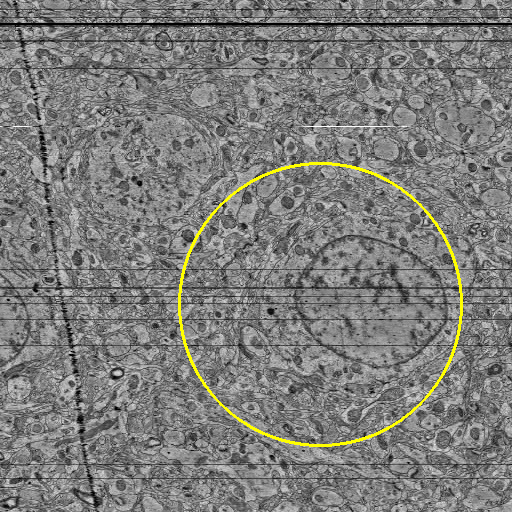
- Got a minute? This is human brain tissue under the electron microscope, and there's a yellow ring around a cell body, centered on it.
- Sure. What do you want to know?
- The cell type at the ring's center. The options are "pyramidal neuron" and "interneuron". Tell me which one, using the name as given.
pyramidal neuron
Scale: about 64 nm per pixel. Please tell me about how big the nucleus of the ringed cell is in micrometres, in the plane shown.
The ringed cell's nucleus is about 10 micrometres long and 8 micrometres wide in this plane.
